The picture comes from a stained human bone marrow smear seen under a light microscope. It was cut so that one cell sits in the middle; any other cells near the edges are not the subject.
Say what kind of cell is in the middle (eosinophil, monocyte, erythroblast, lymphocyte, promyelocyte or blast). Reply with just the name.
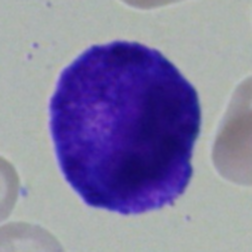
promyelocyte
